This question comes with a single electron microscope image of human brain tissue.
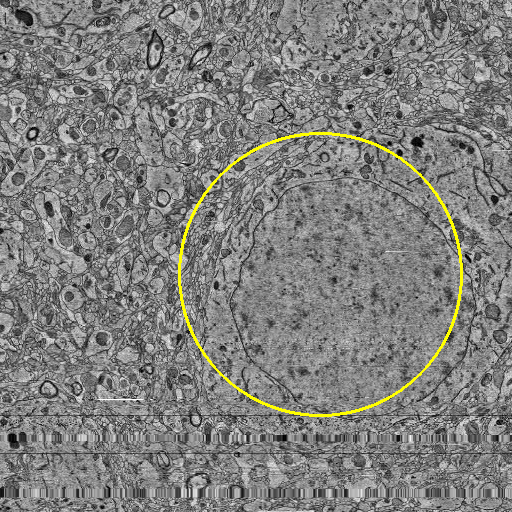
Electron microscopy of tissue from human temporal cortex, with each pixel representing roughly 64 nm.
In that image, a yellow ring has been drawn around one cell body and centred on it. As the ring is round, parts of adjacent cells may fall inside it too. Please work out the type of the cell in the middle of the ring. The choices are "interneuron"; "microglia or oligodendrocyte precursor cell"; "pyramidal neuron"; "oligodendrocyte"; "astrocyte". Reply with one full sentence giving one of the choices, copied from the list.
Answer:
Of the choices, a pyramidal neuron is the cell sitting in the middle of the ring.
